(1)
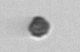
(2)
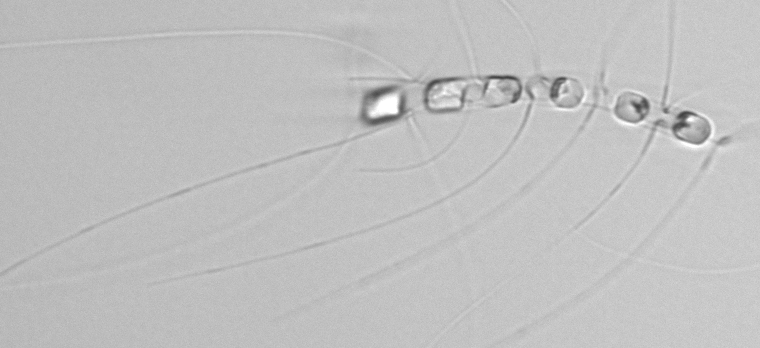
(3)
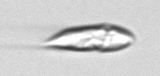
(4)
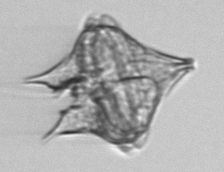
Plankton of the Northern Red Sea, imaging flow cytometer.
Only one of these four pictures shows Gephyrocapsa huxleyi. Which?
Picture 1.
